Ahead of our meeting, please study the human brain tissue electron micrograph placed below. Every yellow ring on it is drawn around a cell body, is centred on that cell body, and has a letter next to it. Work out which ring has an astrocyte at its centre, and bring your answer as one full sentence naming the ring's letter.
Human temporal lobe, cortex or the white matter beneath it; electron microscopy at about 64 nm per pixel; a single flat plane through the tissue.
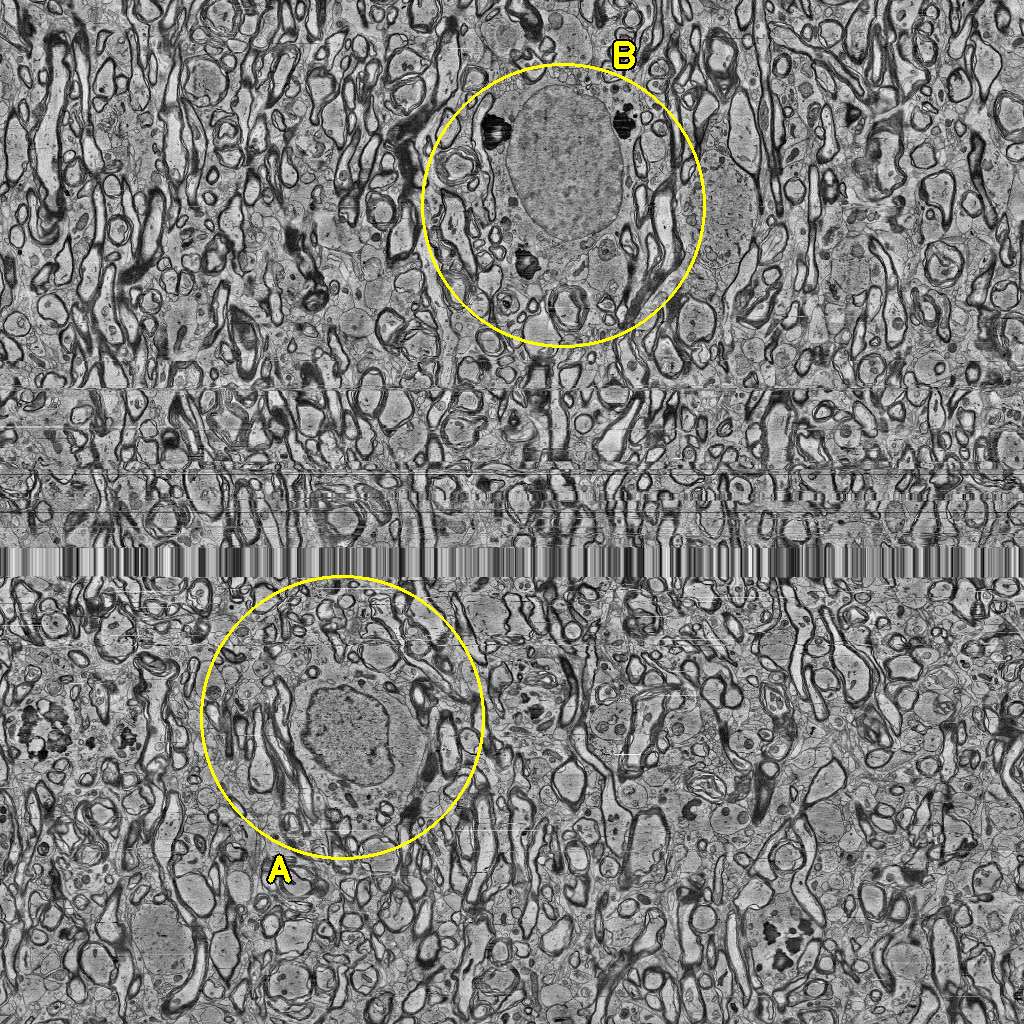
In the micrograph, ring A is the one centred on the cell I was asked to find.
